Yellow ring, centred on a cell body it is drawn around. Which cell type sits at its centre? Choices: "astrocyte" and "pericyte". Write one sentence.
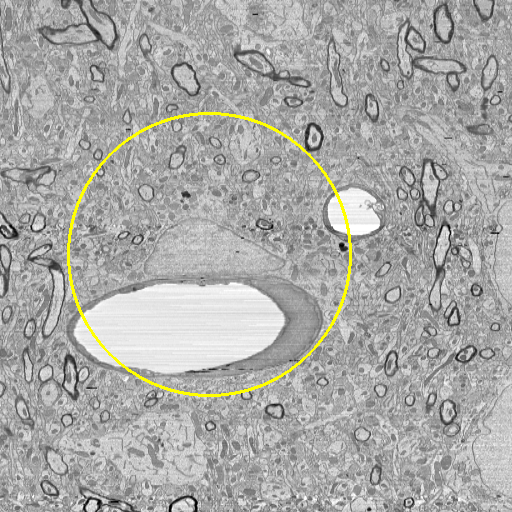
At the centre of the ring sits an astrocyte.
